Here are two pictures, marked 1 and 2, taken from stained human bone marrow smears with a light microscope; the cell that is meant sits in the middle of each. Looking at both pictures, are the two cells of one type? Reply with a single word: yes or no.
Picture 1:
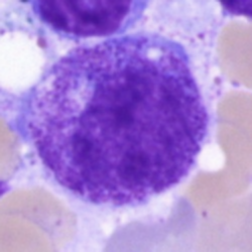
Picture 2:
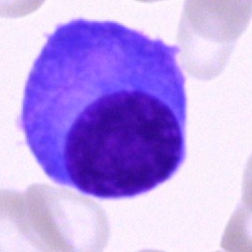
no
